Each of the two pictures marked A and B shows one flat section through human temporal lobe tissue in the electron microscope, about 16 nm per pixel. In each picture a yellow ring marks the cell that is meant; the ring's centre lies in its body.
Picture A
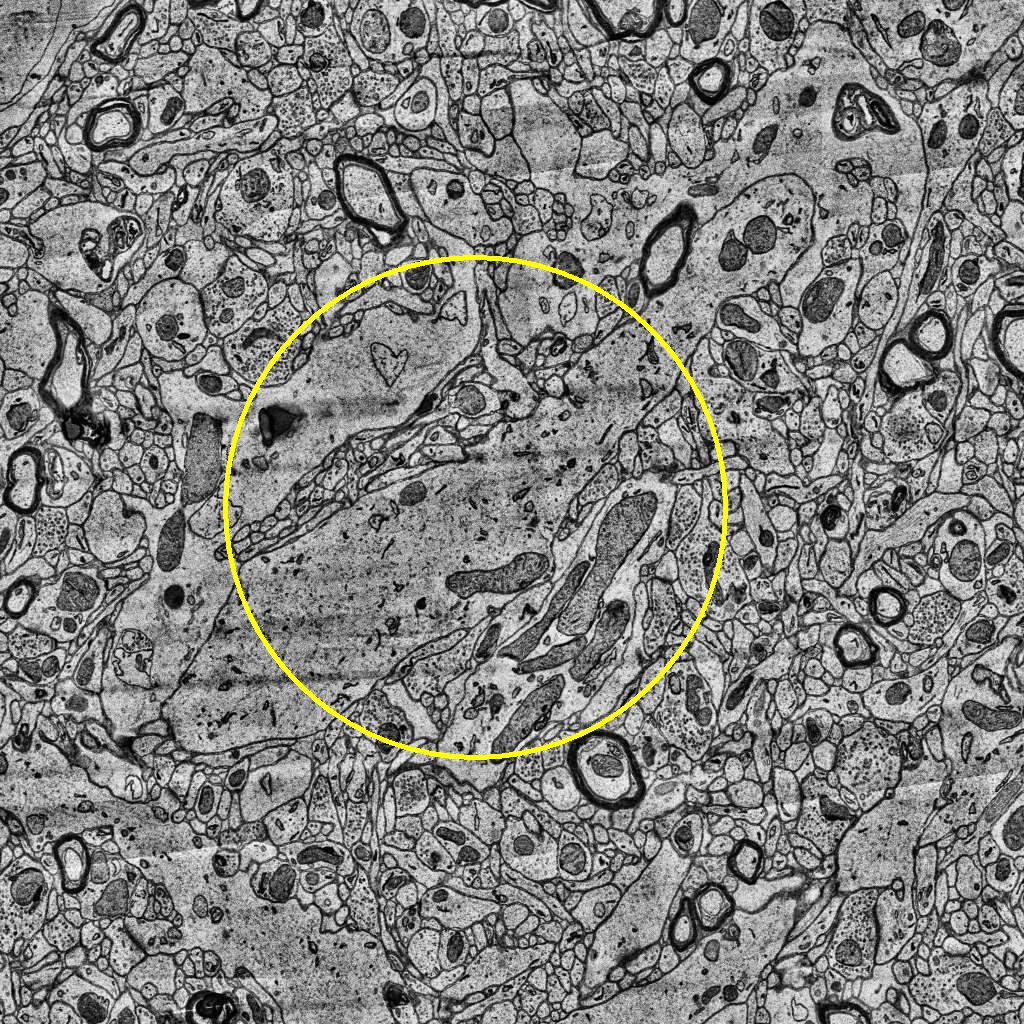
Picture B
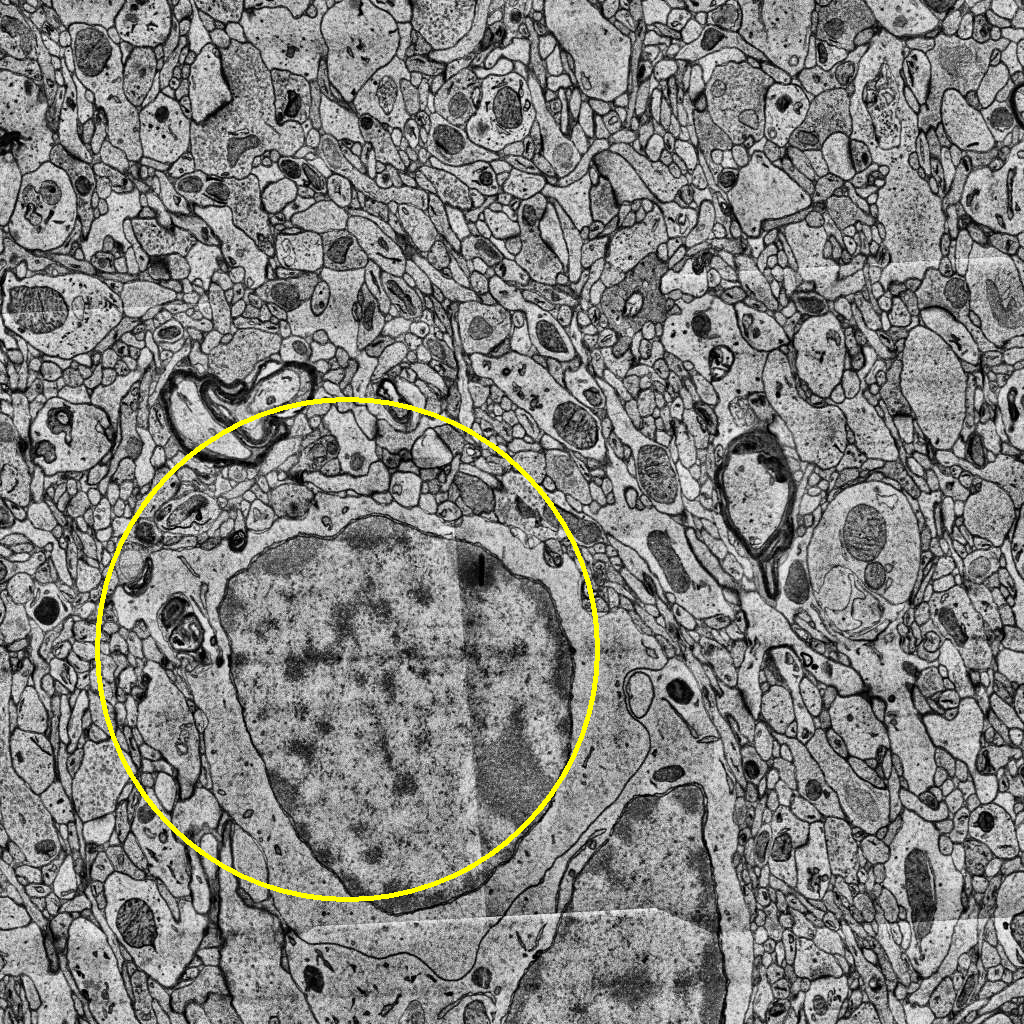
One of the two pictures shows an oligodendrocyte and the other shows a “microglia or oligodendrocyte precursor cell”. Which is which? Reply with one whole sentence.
The cell in picture A is an oligodendrocyte, and the one in picture B is a “microglia or oligodendrocyte precursor cell”.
